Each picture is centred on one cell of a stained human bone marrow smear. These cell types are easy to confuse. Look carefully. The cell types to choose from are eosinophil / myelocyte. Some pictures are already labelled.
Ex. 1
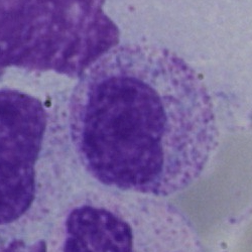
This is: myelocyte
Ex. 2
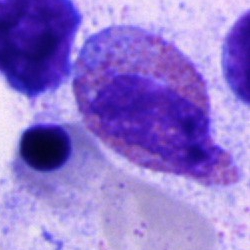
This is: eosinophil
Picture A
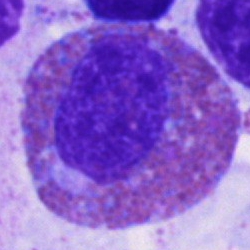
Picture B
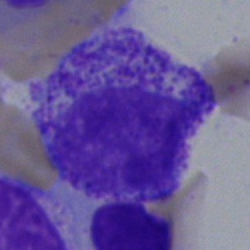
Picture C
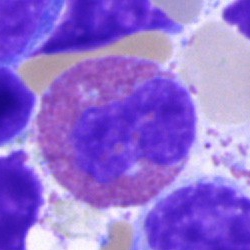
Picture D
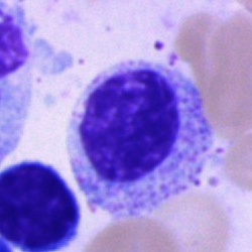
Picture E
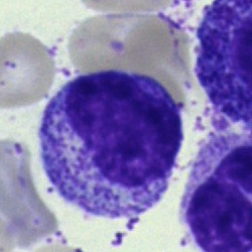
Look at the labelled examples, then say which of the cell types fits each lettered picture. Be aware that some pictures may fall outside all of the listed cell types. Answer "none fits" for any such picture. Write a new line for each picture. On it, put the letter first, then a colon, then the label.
A: eosinophil
B: myelocyte
C: eosinophil
D: myelocyte
E: myelocyte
